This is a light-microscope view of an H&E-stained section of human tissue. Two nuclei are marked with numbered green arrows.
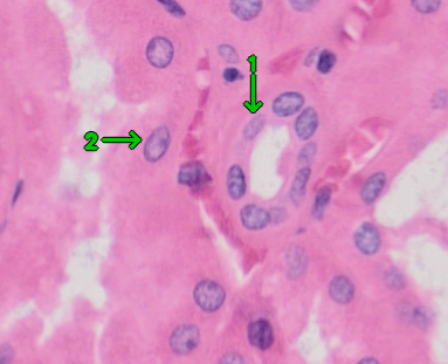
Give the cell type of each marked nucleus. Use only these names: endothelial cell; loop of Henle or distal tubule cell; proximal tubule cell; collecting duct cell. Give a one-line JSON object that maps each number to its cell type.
{"1": "collecting duct cell", "2": "proximal tubule cell"}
